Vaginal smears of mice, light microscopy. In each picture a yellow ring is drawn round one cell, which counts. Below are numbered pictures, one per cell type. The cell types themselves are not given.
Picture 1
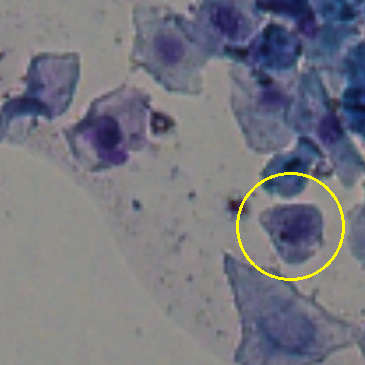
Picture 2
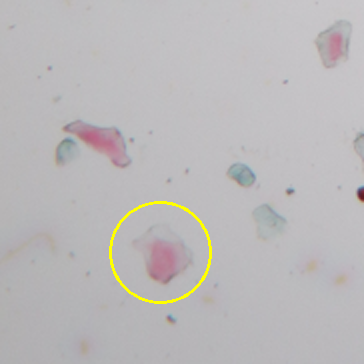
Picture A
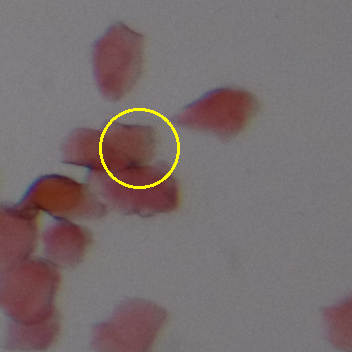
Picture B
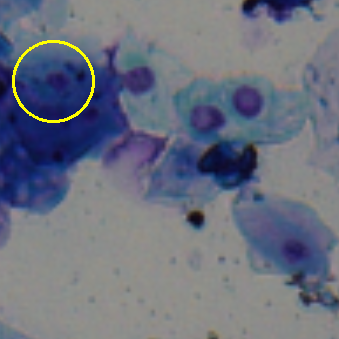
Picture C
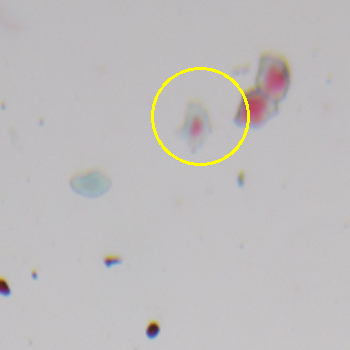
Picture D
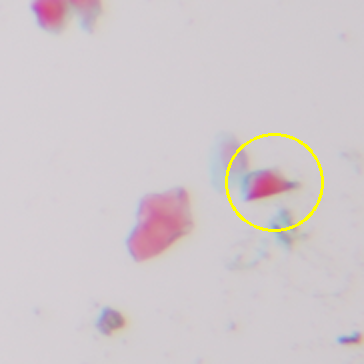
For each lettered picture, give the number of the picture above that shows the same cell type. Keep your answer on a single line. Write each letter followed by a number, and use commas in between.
A 2, B 1, C 1, D 2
